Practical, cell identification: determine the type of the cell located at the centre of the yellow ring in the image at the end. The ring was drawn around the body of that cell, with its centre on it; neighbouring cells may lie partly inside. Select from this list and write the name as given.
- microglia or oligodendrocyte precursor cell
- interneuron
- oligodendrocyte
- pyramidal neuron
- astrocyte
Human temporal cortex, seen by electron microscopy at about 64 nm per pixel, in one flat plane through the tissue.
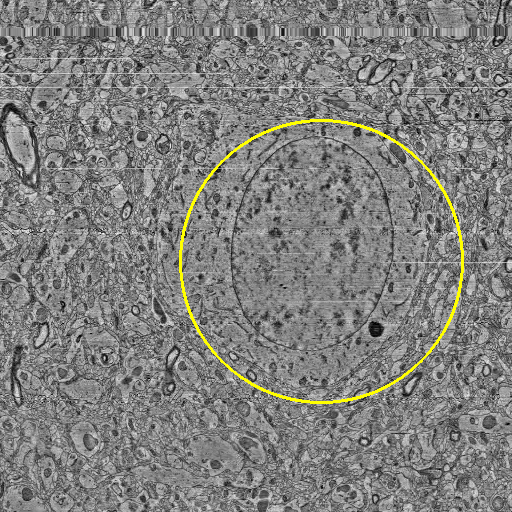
pyramidal neuron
